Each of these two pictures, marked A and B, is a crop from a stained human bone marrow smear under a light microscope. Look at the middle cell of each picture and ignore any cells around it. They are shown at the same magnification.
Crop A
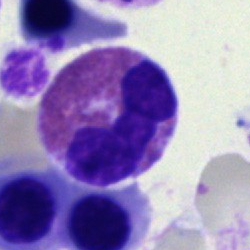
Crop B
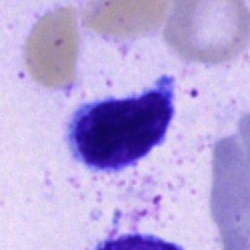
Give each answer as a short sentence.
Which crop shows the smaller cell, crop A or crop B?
Smaller is the cell in crop B, and the other is about 2 times as large in area.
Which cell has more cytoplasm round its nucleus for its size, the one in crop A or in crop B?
It is the cell in crop A that is filled less by its nucleus.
